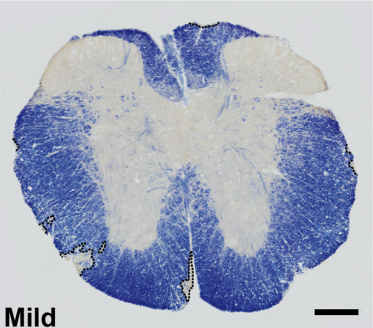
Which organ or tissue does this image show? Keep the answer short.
Spinal cord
